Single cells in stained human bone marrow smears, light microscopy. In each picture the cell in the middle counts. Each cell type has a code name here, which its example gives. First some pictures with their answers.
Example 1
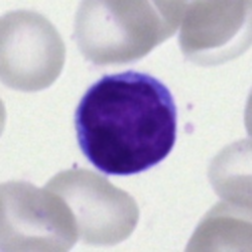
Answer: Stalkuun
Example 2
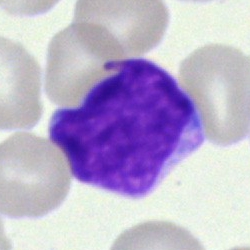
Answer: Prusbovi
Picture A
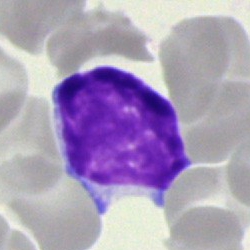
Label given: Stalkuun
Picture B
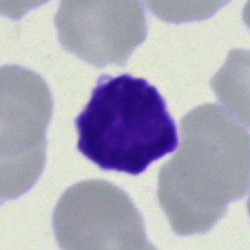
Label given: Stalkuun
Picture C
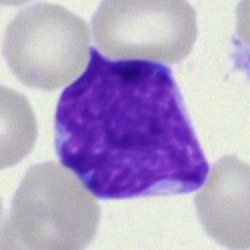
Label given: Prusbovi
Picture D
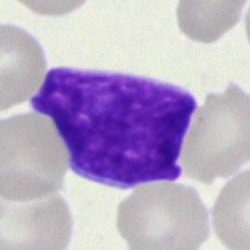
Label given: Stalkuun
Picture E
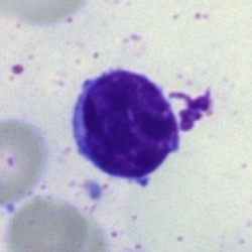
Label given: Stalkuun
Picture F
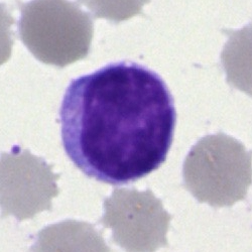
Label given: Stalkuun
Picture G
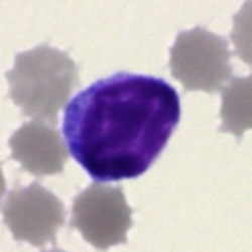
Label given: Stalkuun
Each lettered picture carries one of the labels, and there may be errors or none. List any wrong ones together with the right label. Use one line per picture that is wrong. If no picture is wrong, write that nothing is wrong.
D should be Prusbovi, not Stalkuun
